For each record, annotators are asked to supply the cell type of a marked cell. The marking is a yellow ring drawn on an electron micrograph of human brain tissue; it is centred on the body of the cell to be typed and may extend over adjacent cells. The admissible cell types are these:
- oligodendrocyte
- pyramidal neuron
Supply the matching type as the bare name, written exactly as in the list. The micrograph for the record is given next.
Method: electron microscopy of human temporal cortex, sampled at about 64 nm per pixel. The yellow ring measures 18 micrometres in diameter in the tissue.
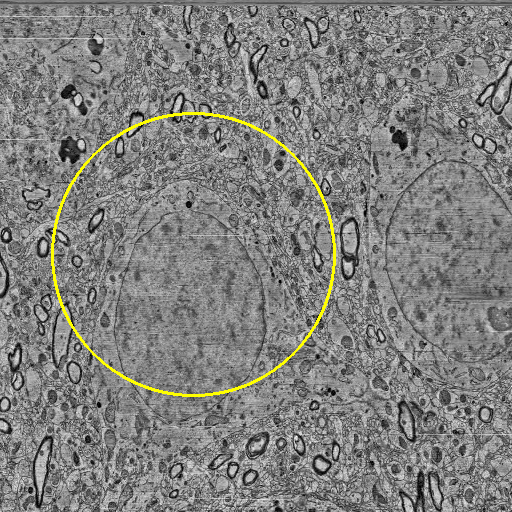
pyramidal neuron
